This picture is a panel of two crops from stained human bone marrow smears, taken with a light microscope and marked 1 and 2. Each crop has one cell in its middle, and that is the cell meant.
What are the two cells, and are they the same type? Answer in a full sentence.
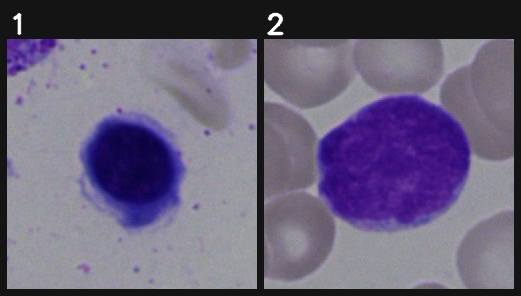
No, on this set crop 1 shows an erythroblast and crop 2 shows a blast.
